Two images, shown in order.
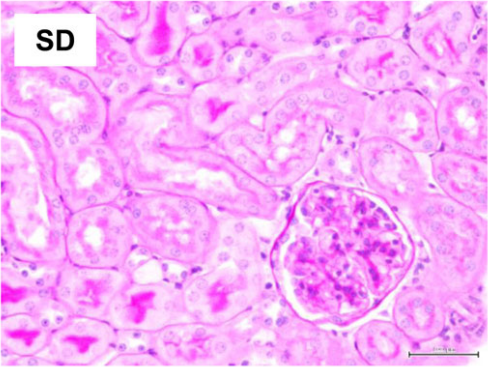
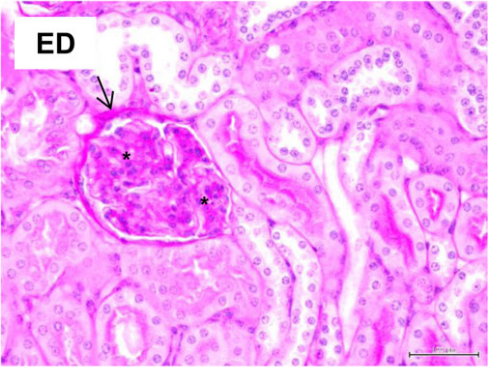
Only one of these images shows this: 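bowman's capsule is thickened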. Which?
the second image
